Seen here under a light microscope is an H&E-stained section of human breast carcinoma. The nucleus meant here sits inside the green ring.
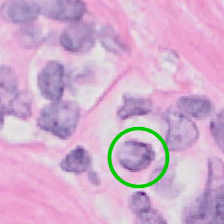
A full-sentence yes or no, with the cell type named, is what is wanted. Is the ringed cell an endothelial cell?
No, the ringed cell is a carcinoma cell, and it is not an endothelial cell.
